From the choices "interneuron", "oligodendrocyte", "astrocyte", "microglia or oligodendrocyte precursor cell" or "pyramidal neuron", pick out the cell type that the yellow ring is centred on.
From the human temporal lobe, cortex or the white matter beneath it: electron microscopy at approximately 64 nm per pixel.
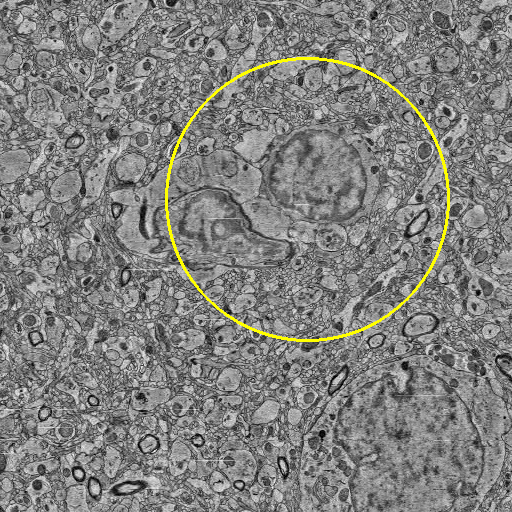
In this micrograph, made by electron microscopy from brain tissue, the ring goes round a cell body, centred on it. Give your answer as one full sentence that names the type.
The yellow ring is centred on an oligodendrocyte, whose cell body it encircles in the picture.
